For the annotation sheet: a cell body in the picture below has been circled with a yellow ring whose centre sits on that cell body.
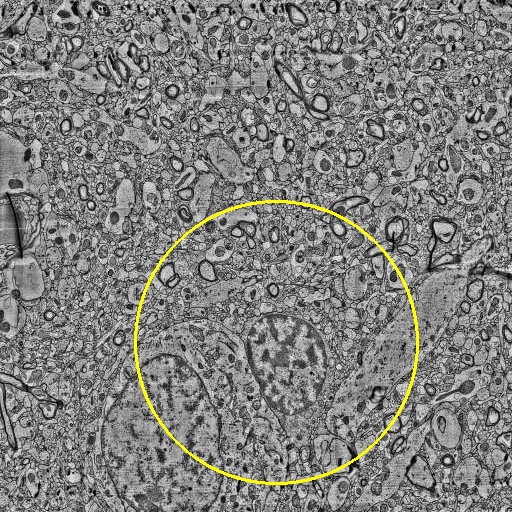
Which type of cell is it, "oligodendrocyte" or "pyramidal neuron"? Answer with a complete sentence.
The circled cell is an oligodendrocyte.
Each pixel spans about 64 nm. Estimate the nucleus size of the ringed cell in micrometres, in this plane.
The ringed cell's nucleus measures approximately 7 by 5 micrometres in this plane.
